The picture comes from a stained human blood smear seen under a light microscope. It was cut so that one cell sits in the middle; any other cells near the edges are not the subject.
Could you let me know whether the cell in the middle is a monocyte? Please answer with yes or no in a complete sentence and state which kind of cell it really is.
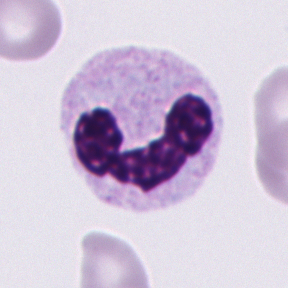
No, at the centre of this crop is found a segmented neutrophil instead of a monocyte.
